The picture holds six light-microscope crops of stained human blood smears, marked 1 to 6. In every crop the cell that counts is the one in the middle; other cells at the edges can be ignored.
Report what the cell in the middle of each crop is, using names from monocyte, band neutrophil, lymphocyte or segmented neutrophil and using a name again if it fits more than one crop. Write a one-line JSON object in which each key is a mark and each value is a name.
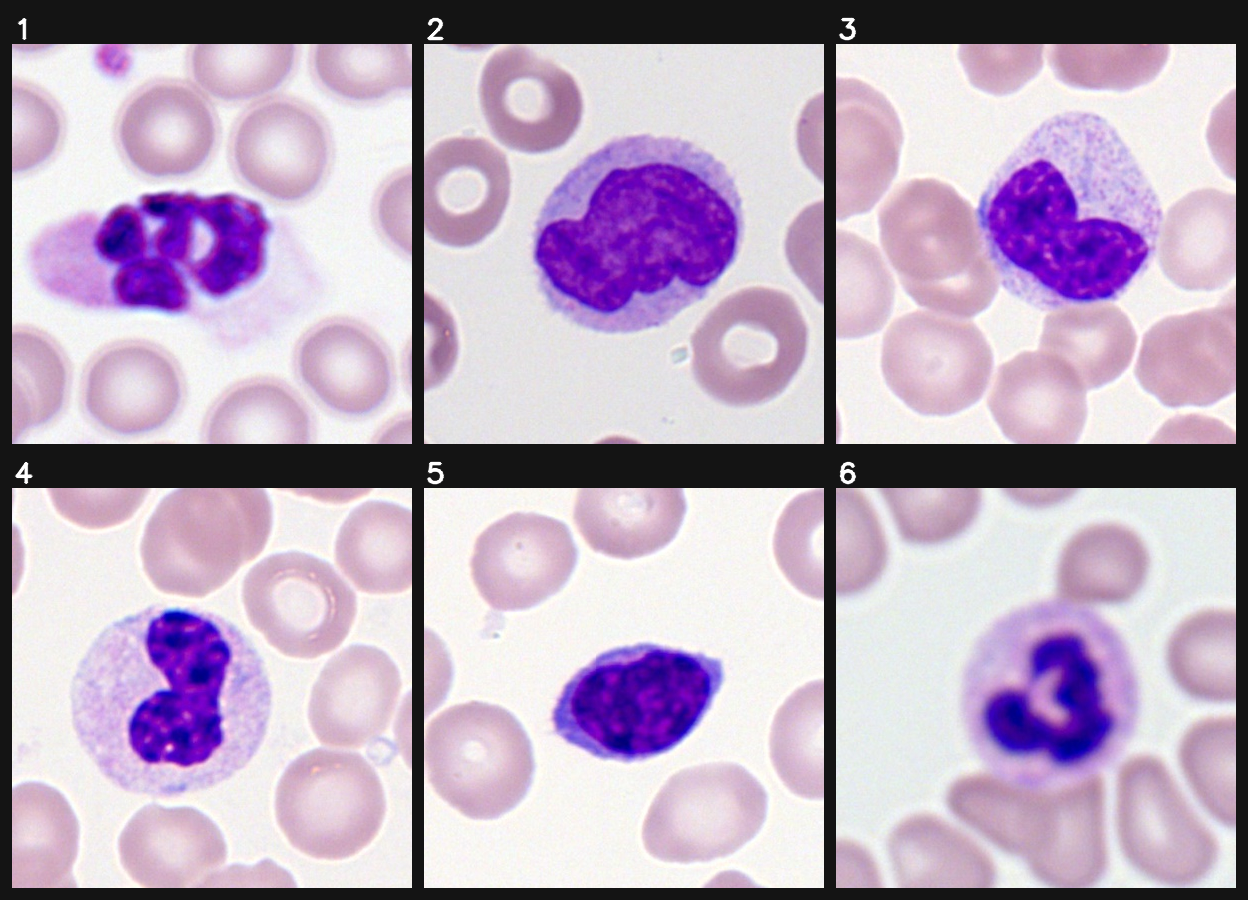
{"1": "segmented neutrophil", "2": "monocyte", "3": "band neutrophil", "4": "band neutrophil", "5": "lymphocyte", "6": "segmented neutrophil"}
